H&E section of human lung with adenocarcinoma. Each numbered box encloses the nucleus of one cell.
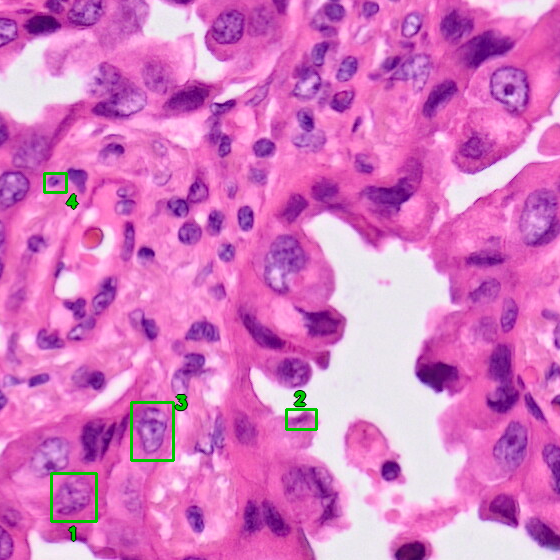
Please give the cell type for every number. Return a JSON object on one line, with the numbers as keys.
{"1": "carcinoma cell", "2": "carcinoma cell", "3": "carcinoma cell", "4": "lymphocyte"}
